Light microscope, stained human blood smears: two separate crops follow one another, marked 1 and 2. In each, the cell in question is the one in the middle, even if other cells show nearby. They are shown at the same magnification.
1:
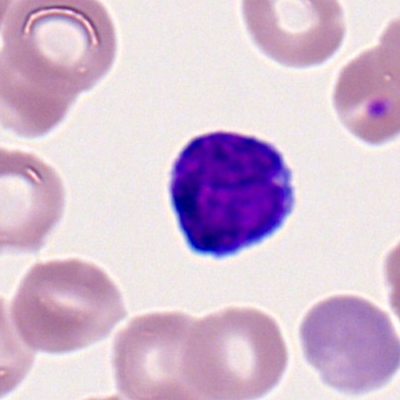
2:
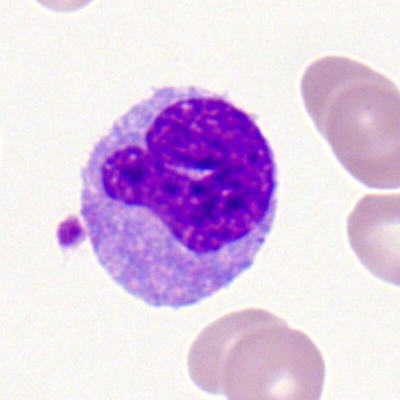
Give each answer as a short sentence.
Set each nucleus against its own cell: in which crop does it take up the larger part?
The nucleus fills more of the cell in crop 1 than in crop 2.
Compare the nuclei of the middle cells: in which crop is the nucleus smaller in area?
Crop 1 shows the smaller nucleus, since that in crop 2 covers about 1.5 times as much area.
